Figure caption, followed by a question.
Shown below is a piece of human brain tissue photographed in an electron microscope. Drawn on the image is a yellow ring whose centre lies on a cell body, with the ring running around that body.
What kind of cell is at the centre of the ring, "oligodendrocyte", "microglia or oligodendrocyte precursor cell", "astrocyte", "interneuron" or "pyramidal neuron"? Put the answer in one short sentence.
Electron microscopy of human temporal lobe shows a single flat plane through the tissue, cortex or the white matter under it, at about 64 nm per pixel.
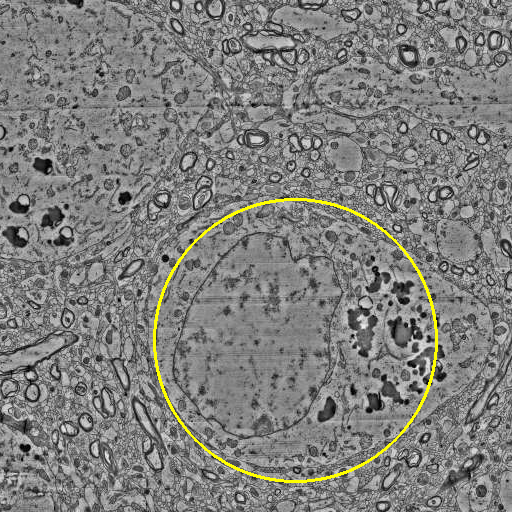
The ring marks the cell body of a pyramidal neuron.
